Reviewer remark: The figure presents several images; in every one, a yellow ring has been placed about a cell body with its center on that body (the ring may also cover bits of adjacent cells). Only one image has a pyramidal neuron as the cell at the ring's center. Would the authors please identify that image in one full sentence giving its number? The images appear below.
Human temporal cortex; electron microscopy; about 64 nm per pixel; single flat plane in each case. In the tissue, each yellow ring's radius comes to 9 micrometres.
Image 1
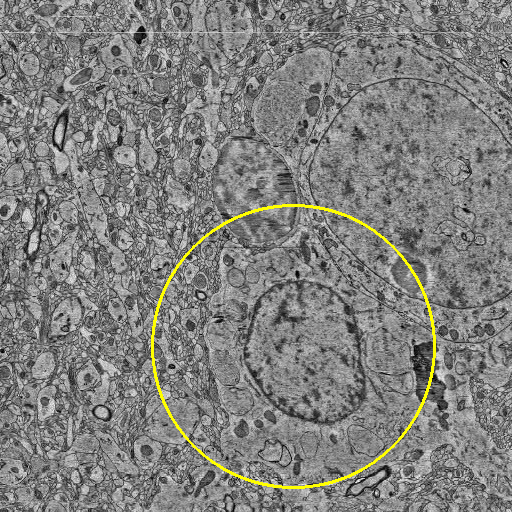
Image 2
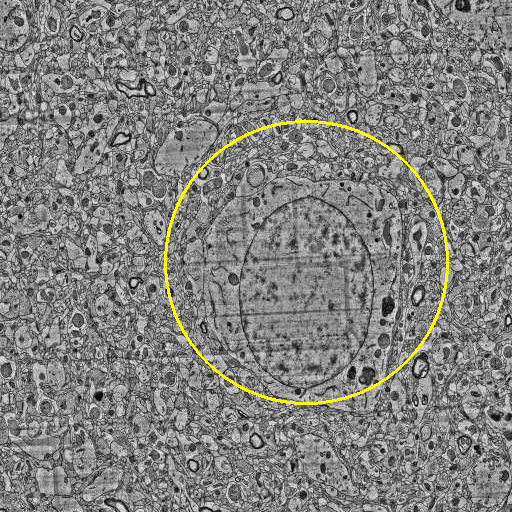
The ring's central cell in image 2 is the one the question describes.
